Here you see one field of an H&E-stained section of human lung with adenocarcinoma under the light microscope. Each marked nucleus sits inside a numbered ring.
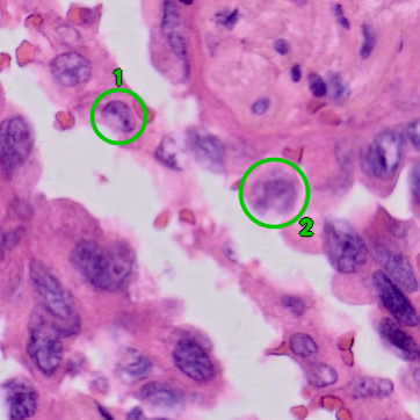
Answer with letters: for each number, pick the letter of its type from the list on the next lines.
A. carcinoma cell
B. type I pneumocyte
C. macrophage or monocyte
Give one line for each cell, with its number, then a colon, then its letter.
1: C
2: A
